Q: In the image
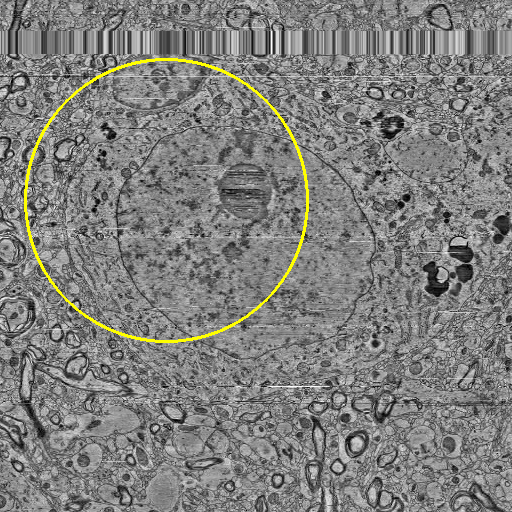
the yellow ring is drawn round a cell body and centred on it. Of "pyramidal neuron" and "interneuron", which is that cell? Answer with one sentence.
The cell centred in the ring is a pyramidal neuron.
